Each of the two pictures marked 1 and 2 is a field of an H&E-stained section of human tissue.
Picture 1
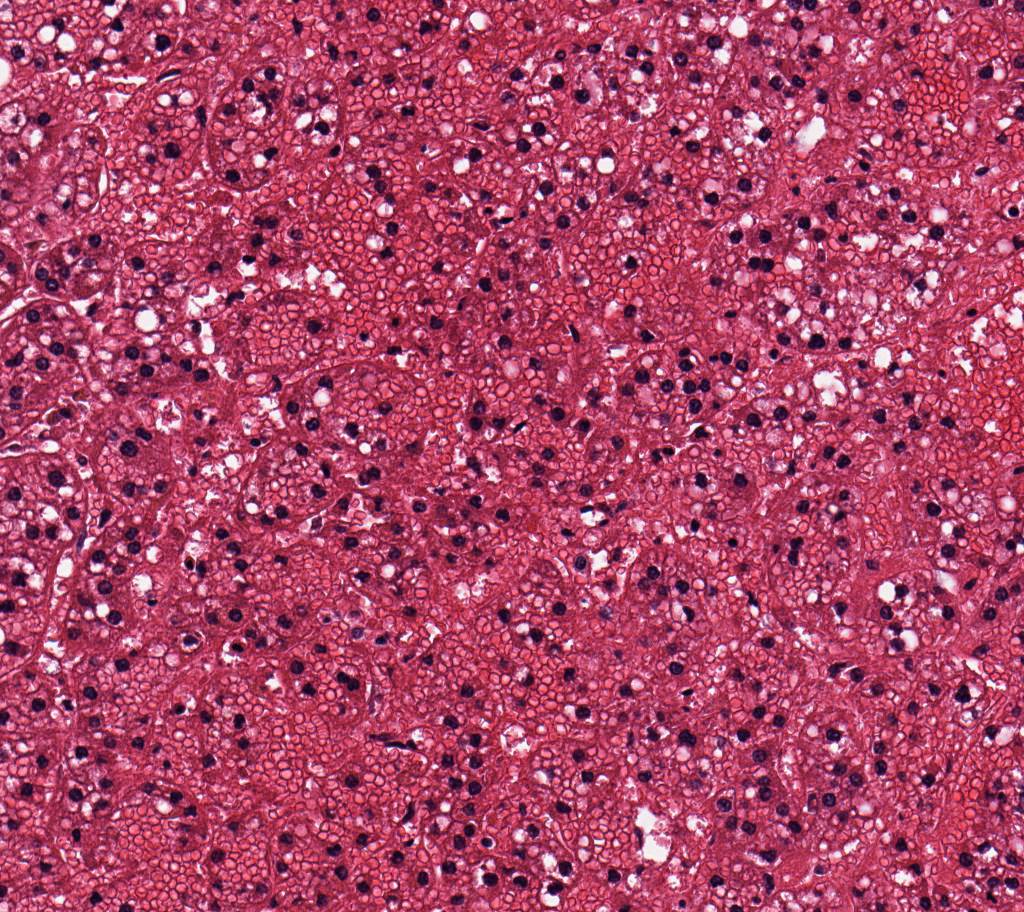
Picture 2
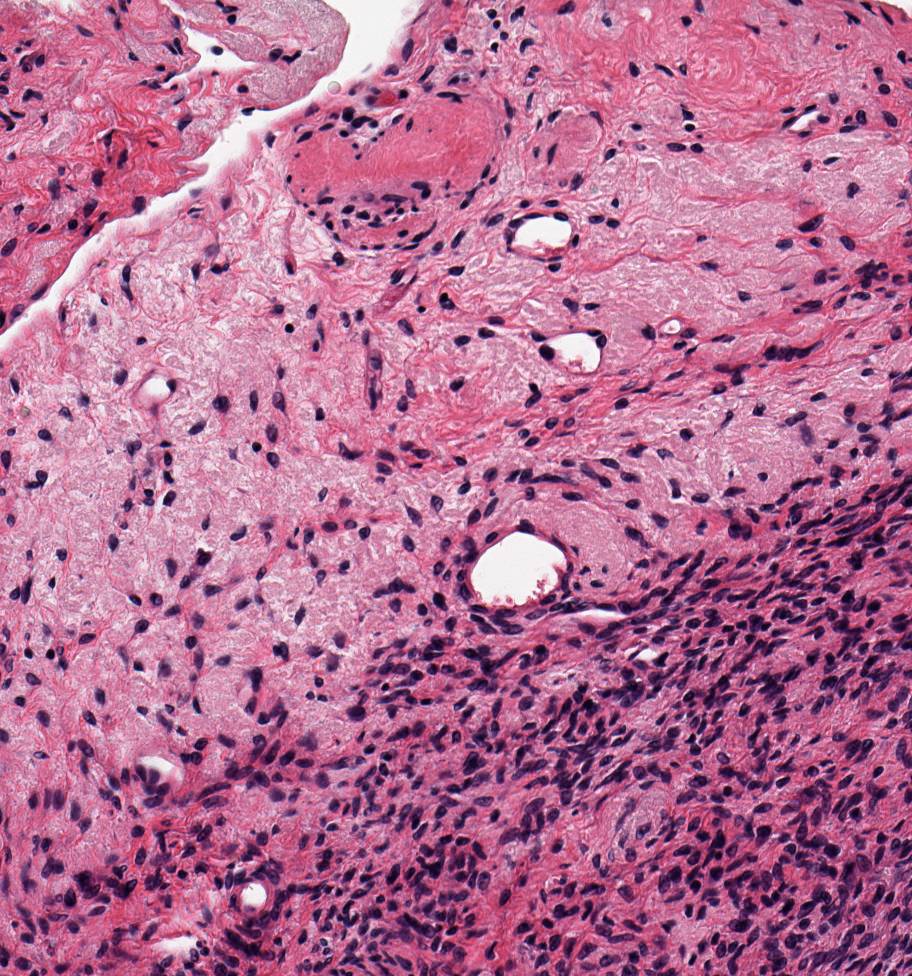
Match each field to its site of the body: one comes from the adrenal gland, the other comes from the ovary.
1: adrenal gland
2: ovary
